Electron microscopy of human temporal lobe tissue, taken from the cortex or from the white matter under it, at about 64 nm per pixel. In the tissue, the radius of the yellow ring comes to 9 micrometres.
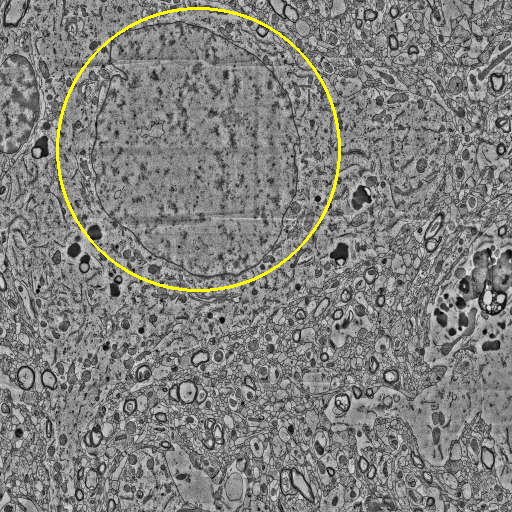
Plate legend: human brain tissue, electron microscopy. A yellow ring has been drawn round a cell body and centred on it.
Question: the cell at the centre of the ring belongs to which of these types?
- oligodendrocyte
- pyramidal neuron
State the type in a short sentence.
The cell in the middle of the ring is a pyramidal neuron.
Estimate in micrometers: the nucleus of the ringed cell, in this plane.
In this plane, approximately 17 by 14 micrometers.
